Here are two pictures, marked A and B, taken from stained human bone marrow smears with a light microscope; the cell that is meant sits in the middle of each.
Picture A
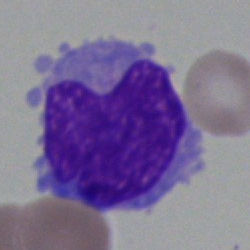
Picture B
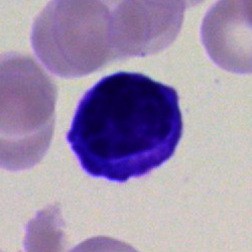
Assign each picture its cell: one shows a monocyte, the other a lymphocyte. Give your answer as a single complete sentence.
In picture A the cell is a monocyte; in picture B, a lymphocyte.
